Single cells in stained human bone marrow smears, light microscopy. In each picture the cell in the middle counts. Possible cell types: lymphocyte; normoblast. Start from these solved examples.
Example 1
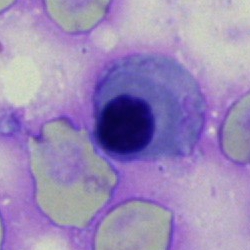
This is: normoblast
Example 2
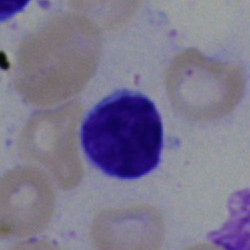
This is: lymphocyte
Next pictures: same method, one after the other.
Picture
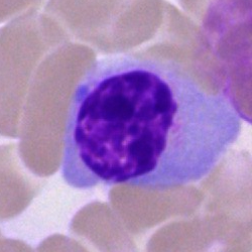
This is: normoblast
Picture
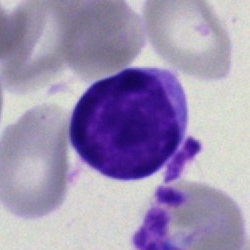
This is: lymphocyte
